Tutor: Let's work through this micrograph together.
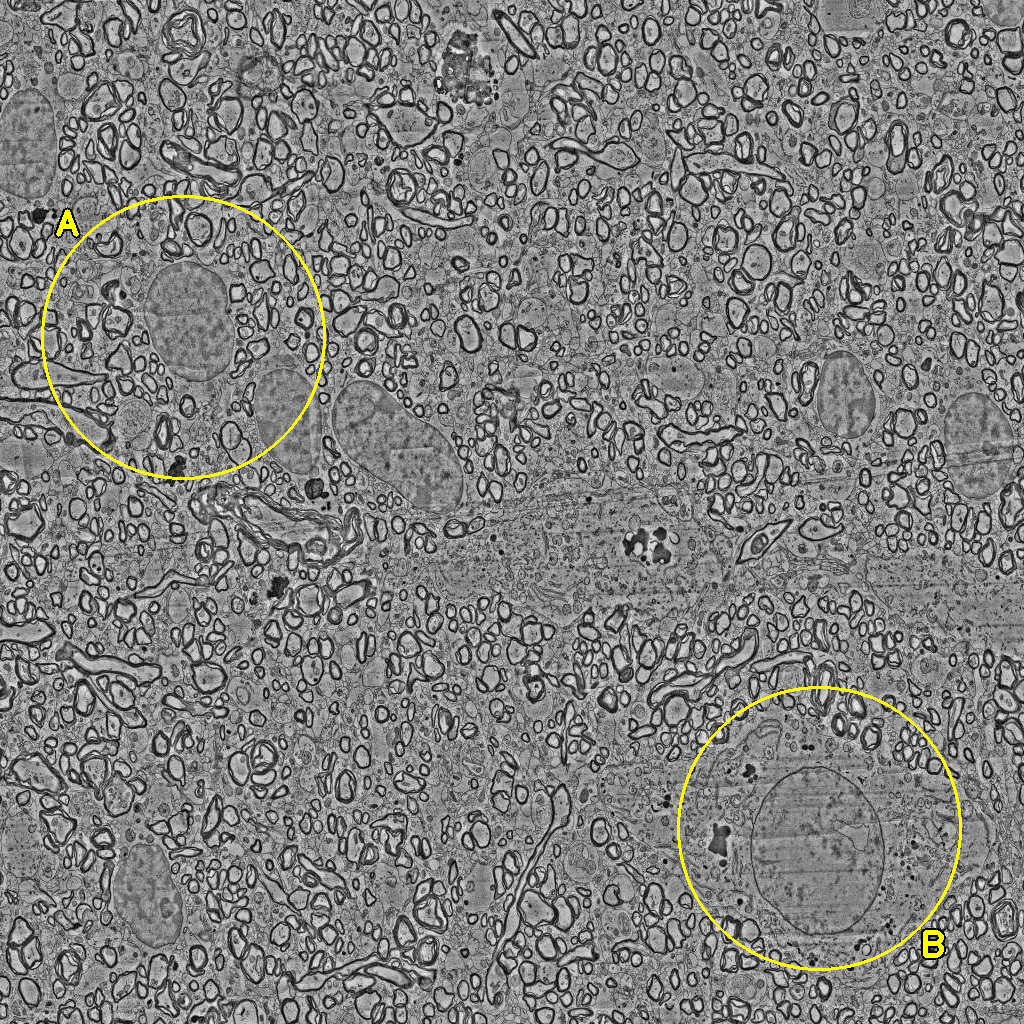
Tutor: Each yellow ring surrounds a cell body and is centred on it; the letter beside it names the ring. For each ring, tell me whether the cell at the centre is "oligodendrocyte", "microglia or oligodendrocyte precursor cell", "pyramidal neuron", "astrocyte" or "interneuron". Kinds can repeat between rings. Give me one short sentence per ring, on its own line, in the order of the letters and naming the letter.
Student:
The ring labelled A is centred on an oligodendrocyte.
The ring labelled B is centred on a pyramidal neuron.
